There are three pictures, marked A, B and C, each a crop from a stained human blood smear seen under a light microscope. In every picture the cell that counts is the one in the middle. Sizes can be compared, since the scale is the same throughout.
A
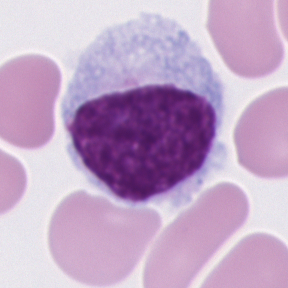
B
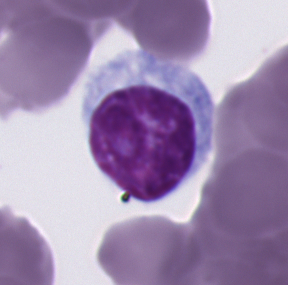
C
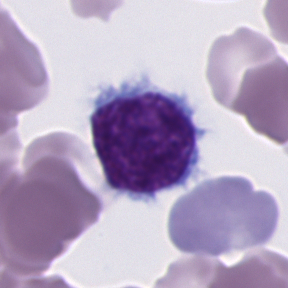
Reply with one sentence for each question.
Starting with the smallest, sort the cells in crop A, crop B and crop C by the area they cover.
Going up, they run C, B, A.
